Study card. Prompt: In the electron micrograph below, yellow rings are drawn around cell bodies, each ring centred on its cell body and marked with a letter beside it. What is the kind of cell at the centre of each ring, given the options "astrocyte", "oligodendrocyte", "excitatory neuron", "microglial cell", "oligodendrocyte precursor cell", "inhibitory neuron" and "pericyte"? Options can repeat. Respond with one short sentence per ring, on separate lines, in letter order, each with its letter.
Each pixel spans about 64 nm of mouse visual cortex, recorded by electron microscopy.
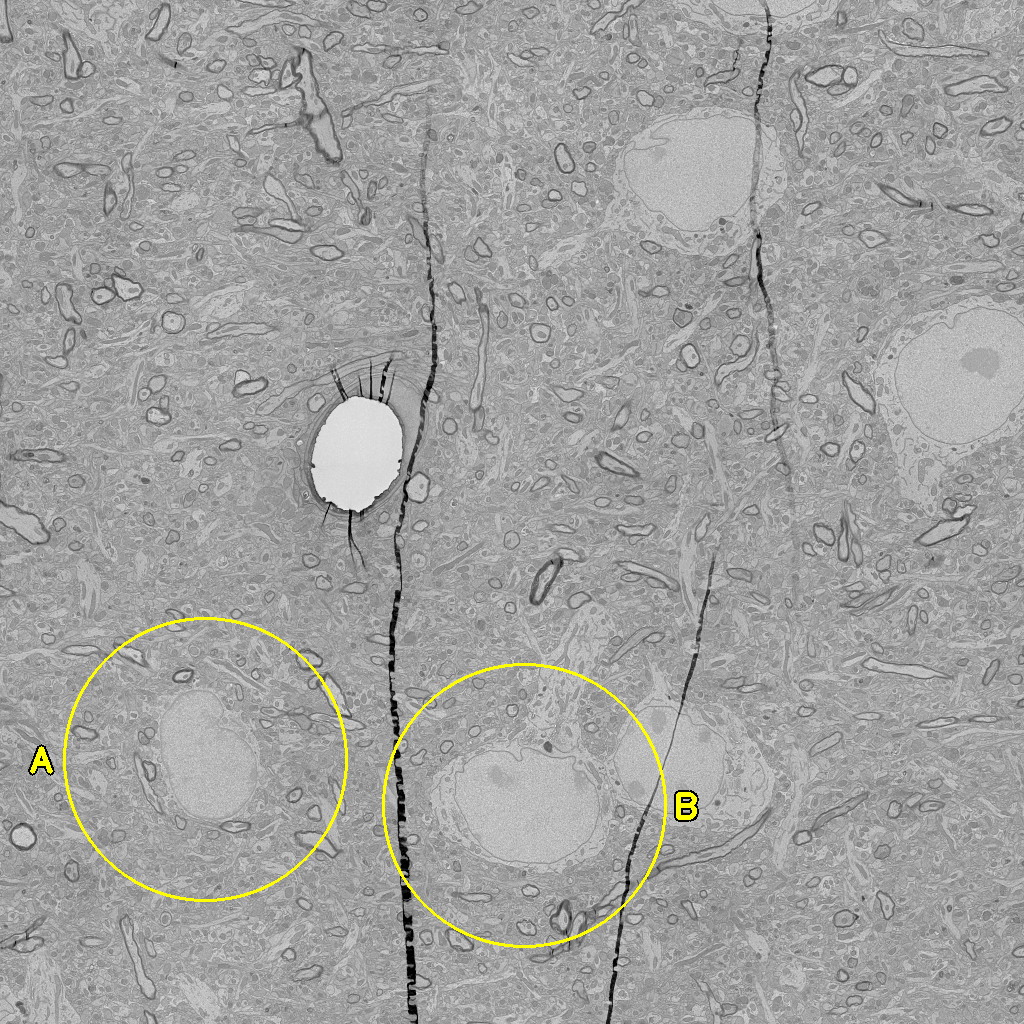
Ring A outlines an astrocyte.
Ring B outlines an excitatory neuron.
